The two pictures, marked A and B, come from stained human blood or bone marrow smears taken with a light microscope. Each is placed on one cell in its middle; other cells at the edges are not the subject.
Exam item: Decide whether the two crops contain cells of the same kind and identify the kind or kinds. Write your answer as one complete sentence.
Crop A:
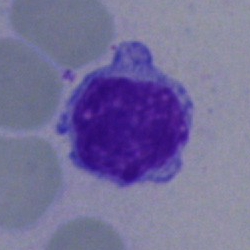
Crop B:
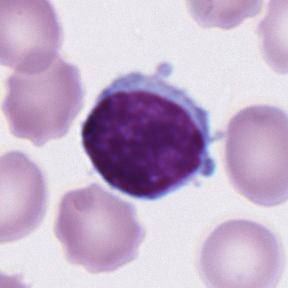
Yes, both crops are centred on cells that are lymphocytes.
